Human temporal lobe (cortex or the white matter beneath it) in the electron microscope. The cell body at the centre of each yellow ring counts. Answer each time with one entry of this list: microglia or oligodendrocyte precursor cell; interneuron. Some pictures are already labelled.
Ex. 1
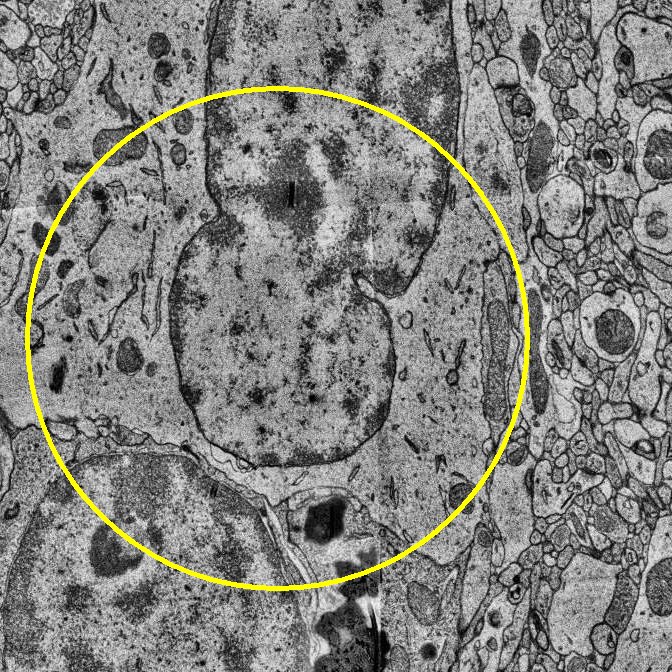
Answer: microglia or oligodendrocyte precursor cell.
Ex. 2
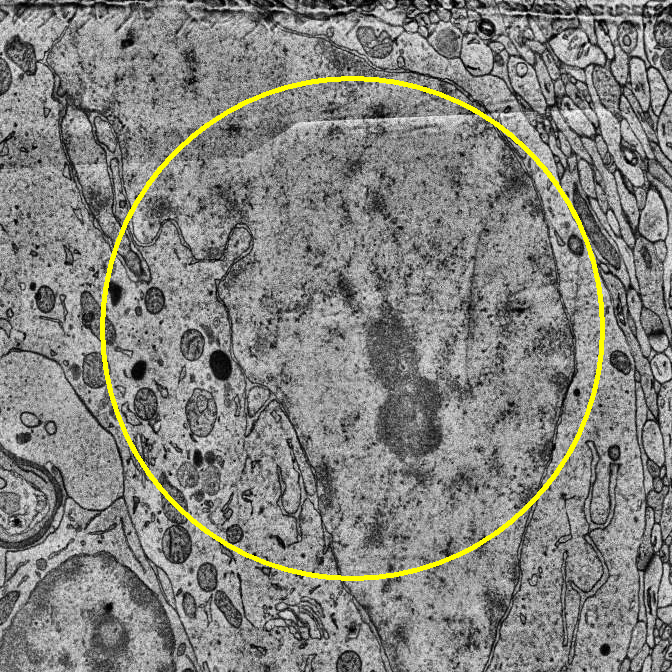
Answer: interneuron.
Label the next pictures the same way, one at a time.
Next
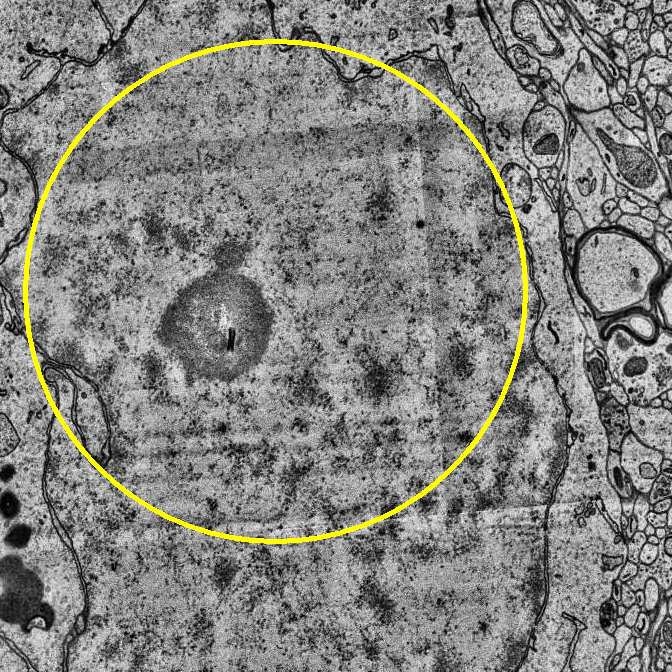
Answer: interneuron.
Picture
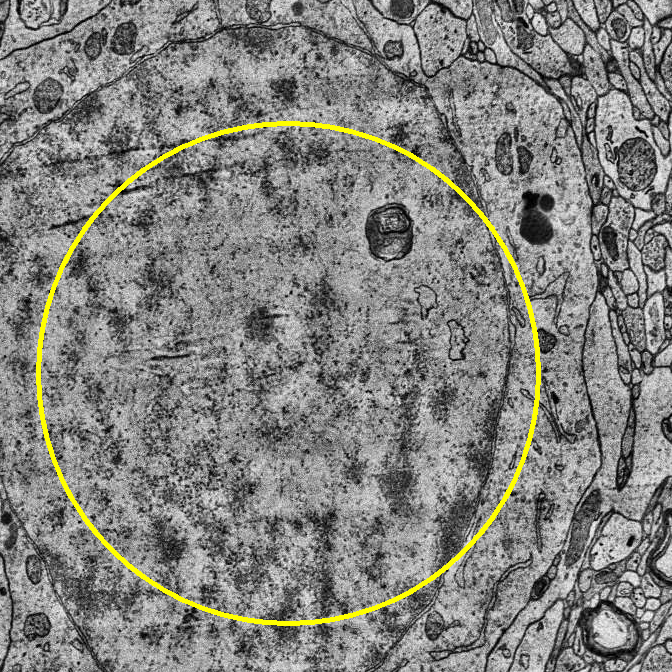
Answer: interneuron.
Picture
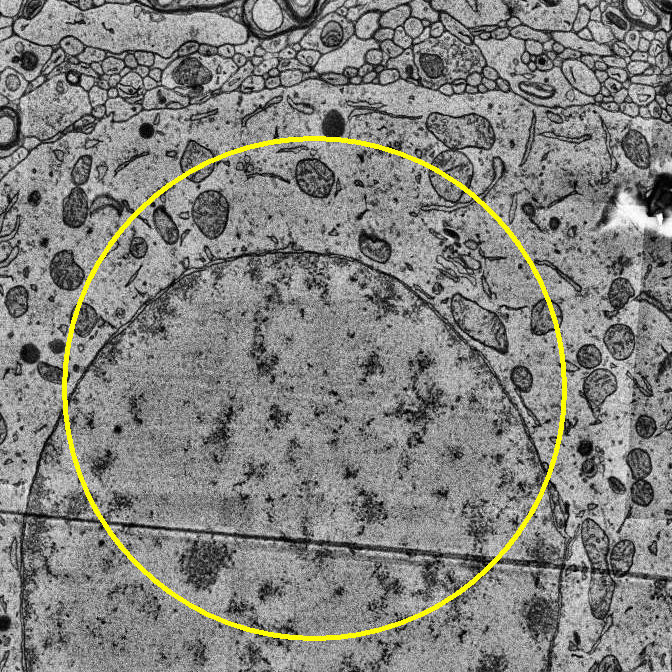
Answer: interneuron.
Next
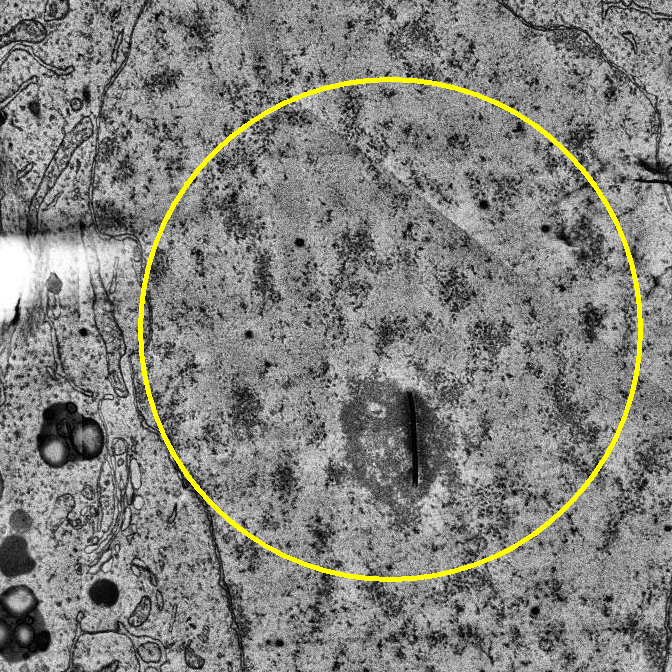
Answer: interneuron.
